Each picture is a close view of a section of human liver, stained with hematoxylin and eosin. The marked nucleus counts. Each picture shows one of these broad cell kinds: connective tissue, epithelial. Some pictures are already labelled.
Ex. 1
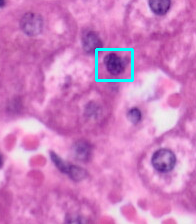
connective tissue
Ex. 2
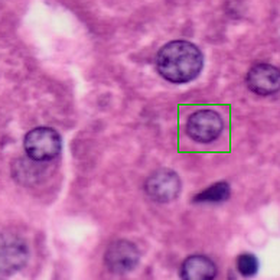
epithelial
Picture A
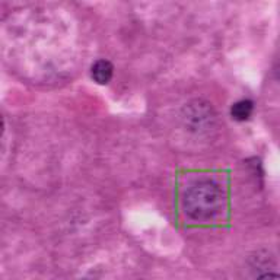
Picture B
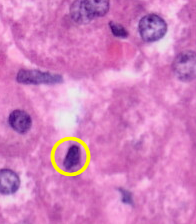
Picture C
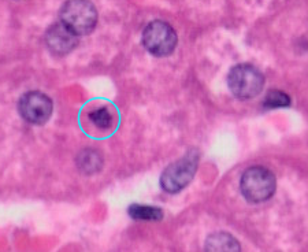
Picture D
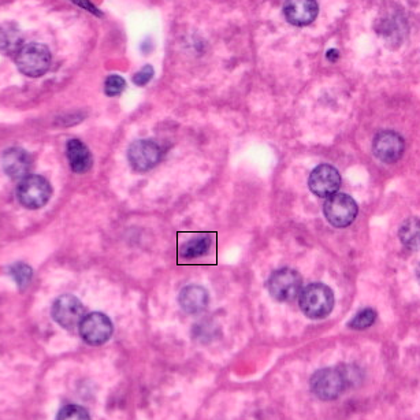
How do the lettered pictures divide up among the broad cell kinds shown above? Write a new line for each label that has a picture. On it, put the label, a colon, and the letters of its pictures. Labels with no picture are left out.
connective tissue: B, C, D
epithelial: A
